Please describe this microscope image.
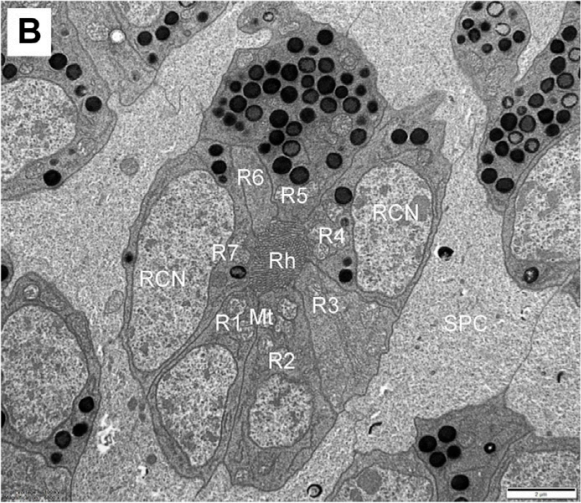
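This transverse electron micrograph shows a group of seven retinula cells arranged in a rosette around a central fused rhabdom. The rhabdom is a small, finely textured mass of microvilli cut across, to which each surrounding cell contributes a rhabdomere. The retinula cells have large oval nuclei with granular chromatin lying at the periphery of the cluster, and mitochondria sit close to the rhabdom. Numerous round, dense black pigment granules crowd the cytoplasm above the rhabdom and fill neighbouring cell profiles, while pale, finely granular pigment cell cytoplasm surrounds the whole group.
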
